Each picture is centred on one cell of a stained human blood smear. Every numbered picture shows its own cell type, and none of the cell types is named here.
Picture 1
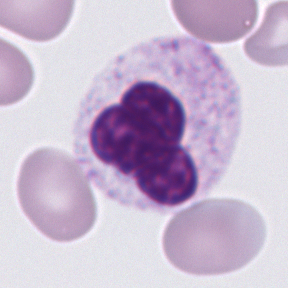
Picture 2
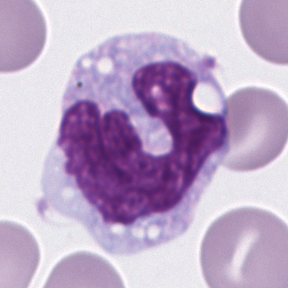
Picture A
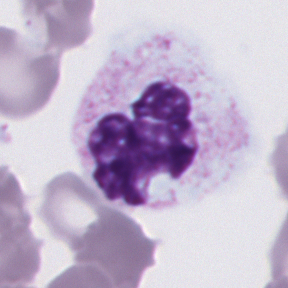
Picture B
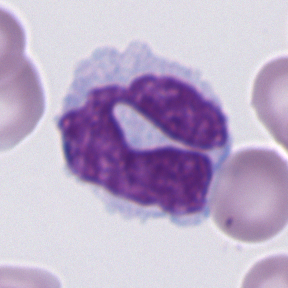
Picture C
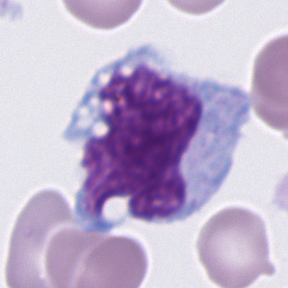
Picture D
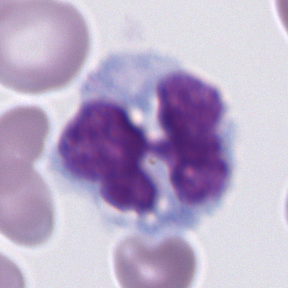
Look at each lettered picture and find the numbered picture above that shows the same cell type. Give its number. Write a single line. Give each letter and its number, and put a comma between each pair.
A 1, B 2, C 2, D 2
